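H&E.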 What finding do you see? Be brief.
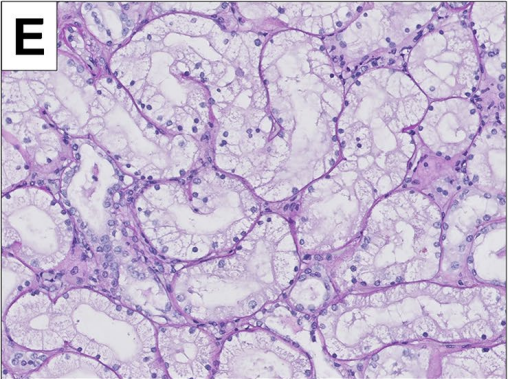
Acute tubular damage of the osmotic nephrosis type.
